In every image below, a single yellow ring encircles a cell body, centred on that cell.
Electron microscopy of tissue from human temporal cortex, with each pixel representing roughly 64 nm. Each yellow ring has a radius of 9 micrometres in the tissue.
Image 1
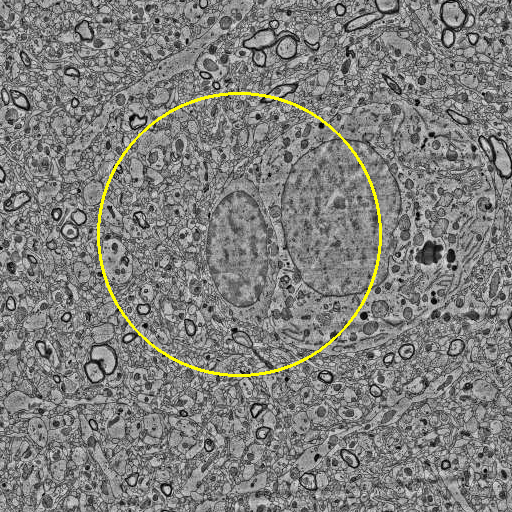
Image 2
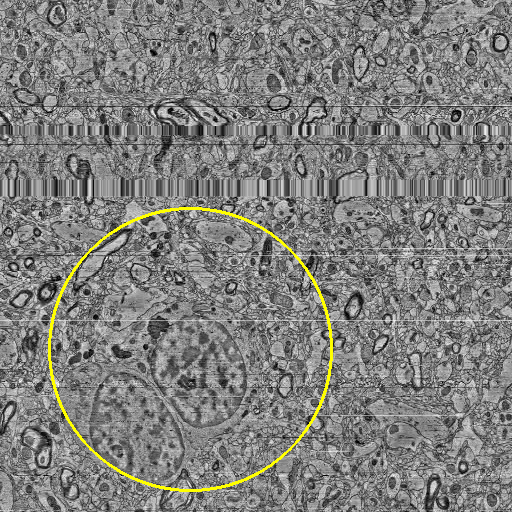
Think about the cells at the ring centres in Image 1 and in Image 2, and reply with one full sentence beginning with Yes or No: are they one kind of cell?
Yes, the cells centred in the rings of Image 1 and Image 2 are one kind of cell.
